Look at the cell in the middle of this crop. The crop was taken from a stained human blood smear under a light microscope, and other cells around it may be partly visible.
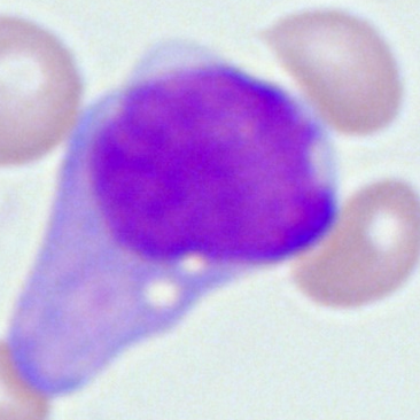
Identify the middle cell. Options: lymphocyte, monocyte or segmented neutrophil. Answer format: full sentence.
What the crop centres on is a monocyte.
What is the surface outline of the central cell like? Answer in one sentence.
The cell is bounded by a ragged or projection-bearing margin rather than a smooth one.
